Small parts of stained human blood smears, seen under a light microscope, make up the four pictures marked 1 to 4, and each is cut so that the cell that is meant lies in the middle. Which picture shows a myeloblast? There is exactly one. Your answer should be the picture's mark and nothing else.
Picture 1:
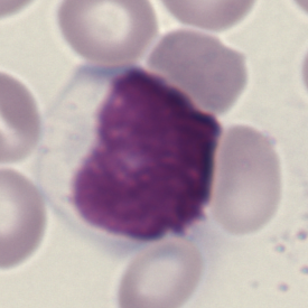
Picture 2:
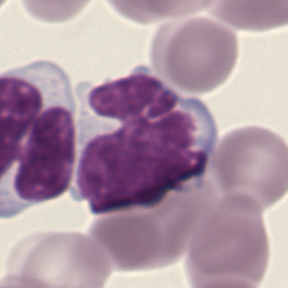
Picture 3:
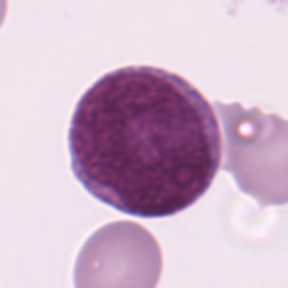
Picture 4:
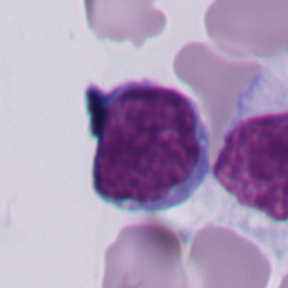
3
